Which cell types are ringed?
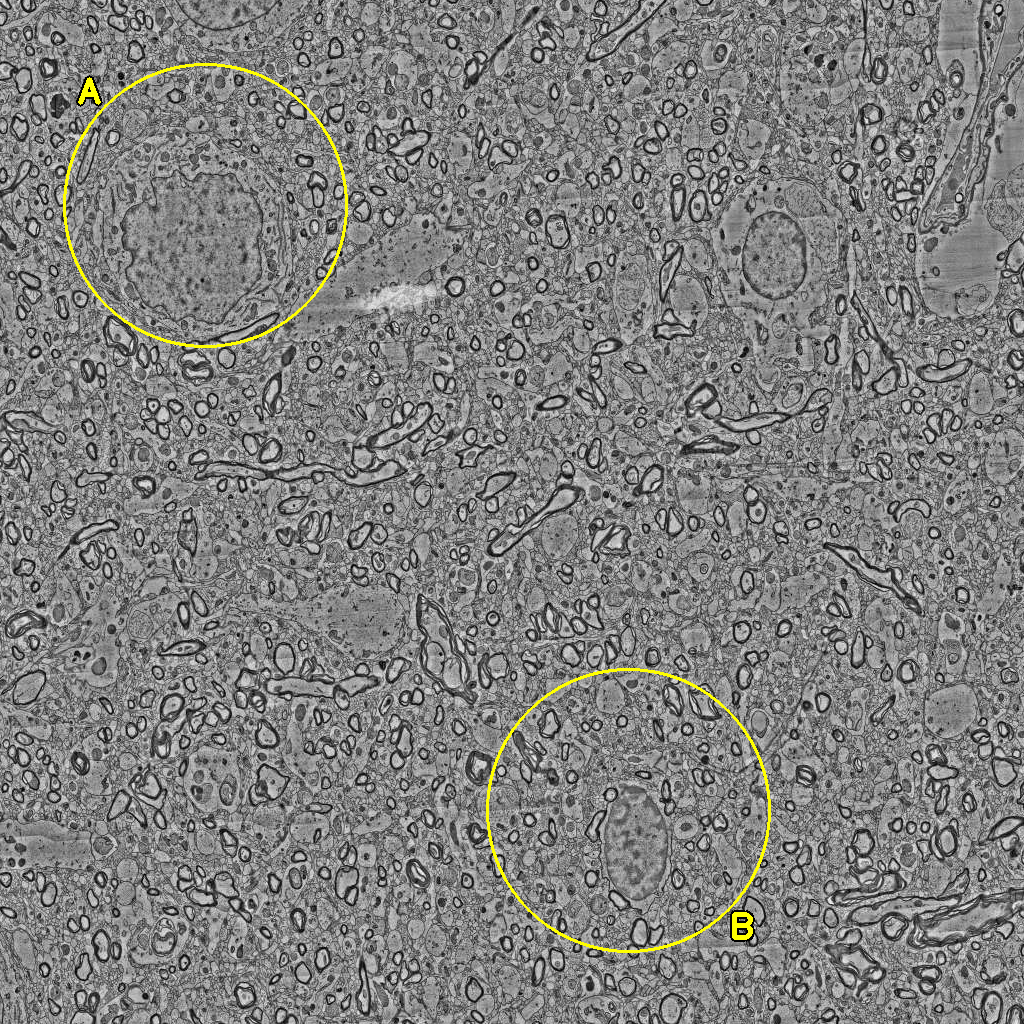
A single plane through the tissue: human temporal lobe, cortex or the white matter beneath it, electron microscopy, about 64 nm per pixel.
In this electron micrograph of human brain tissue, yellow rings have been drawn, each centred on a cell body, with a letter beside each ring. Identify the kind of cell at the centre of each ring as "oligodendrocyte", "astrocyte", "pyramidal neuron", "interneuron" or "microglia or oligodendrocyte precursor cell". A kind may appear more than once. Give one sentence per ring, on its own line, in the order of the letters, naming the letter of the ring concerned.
Ring A is drawn on an interneuron.
Ring B is drawn on an oligodendrocyte.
